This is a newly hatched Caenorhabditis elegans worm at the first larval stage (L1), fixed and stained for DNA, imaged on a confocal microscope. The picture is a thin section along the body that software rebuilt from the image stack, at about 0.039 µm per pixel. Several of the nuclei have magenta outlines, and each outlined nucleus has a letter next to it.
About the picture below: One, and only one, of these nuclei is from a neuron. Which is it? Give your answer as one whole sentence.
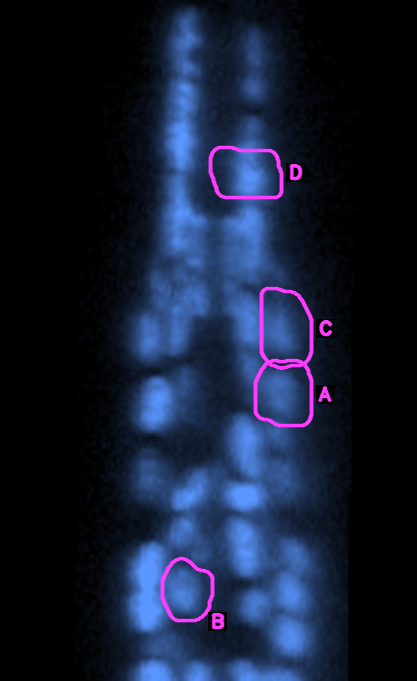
B is the one that belongs to a neuron.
